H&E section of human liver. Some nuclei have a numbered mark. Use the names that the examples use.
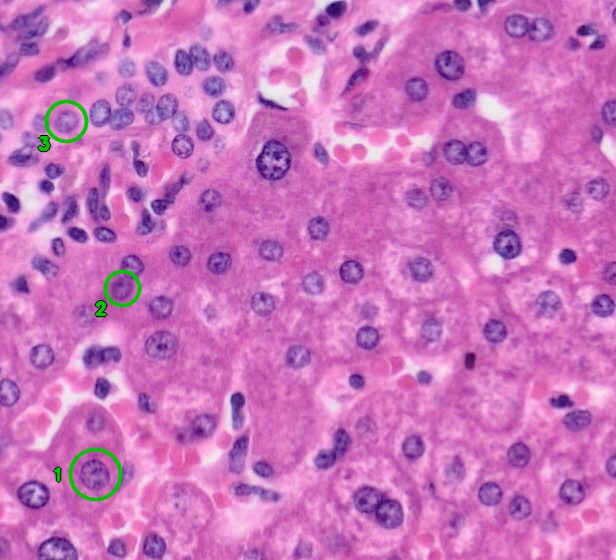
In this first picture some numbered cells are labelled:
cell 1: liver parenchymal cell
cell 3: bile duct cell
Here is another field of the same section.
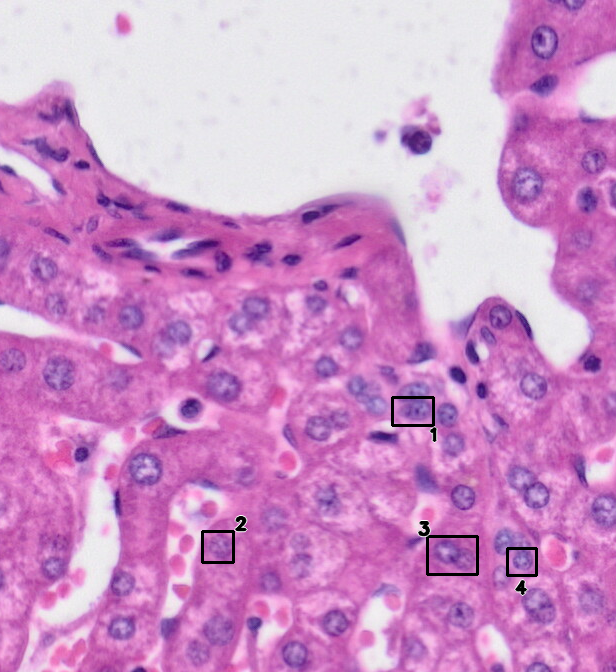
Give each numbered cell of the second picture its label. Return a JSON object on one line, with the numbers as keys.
{"1": "bile duct cell", "2": "liver parenchymal cell", "3": "liver parenchymal cell", "4": "bile duct cell"}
